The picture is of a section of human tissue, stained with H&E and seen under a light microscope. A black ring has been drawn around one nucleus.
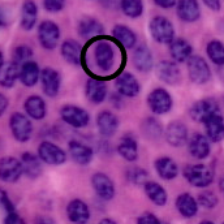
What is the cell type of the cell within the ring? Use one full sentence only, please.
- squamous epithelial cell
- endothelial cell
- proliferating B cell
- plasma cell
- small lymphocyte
The correct response here is that the cell within the ring is a plasma cell.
